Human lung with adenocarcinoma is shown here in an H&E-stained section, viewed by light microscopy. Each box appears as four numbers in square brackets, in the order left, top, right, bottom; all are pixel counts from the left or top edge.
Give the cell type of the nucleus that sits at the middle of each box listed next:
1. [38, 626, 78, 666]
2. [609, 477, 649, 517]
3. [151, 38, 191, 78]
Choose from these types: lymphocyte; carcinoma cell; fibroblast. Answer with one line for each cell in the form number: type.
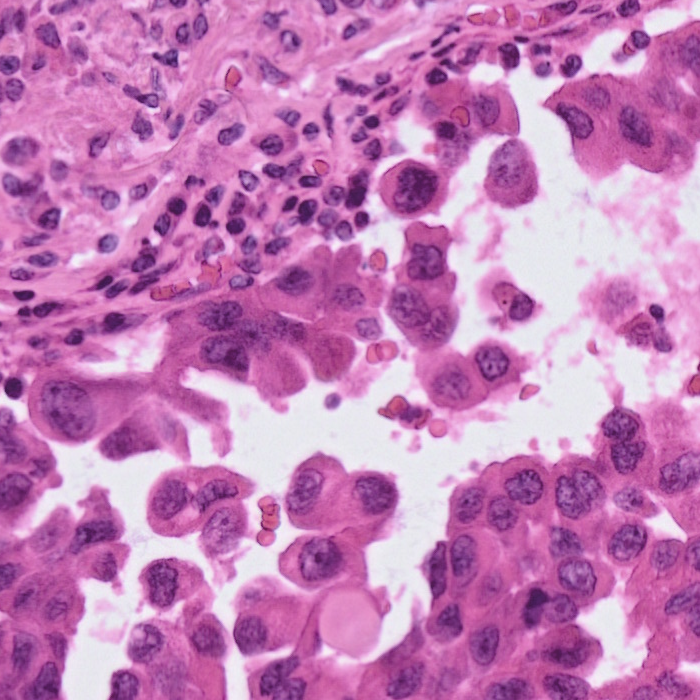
1: carcinoma cell
2: carcinoma cell
3: lymphocyte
